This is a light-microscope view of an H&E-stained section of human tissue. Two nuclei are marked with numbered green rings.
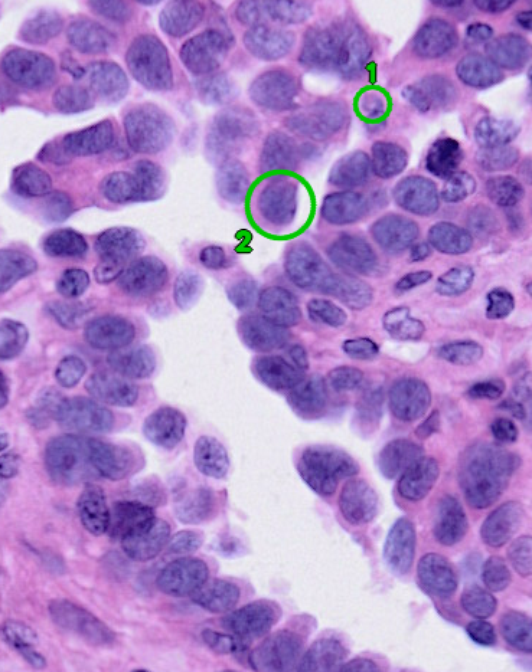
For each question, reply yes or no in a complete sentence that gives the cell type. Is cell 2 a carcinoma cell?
Yes, the cell tagged with the number 2 is a carcinoma cell.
